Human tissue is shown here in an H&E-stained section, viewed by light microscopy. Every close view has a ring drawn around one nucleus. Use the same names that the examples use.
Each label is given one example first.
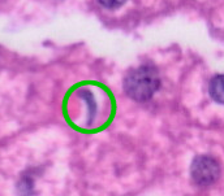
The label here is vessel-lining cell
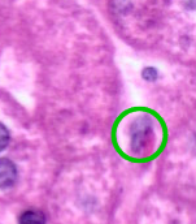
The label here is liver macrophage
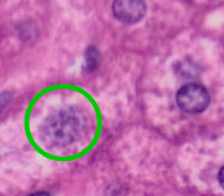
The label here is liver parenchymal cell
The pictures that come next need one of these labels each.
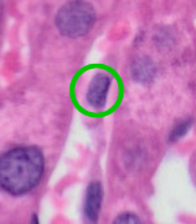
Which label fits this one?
liver macrophage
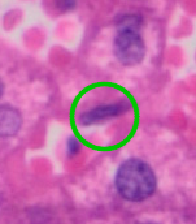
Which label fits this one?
liver macrophage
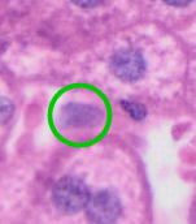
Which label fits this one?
liver macrophage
